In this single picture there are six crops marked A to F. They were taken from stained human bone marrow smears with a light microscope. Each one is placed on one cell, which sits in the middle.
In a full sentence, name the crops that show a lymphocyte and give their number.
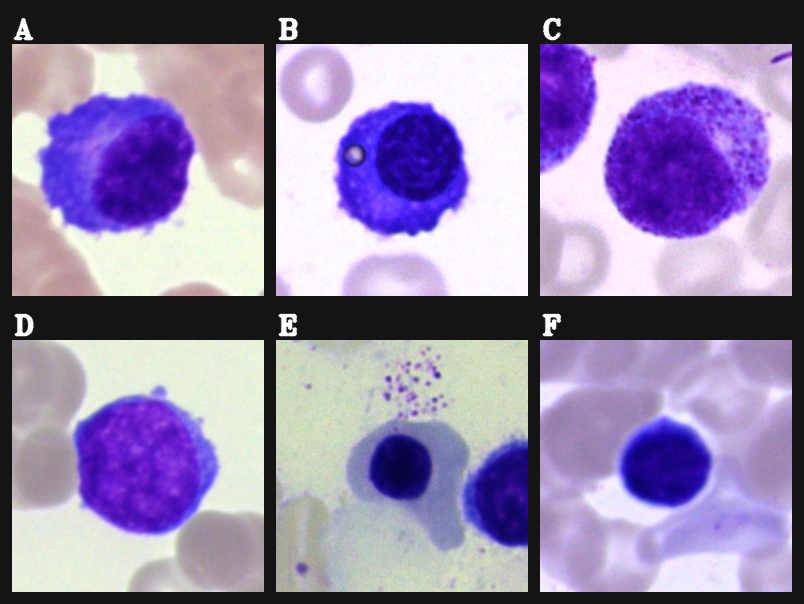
Only one of these crops has a lymphocyte at its centre, crop F.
